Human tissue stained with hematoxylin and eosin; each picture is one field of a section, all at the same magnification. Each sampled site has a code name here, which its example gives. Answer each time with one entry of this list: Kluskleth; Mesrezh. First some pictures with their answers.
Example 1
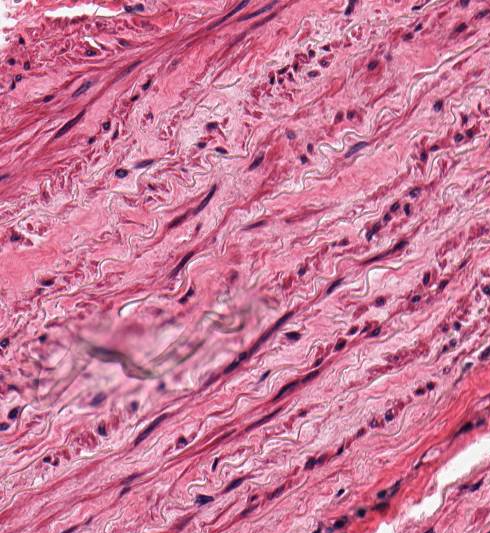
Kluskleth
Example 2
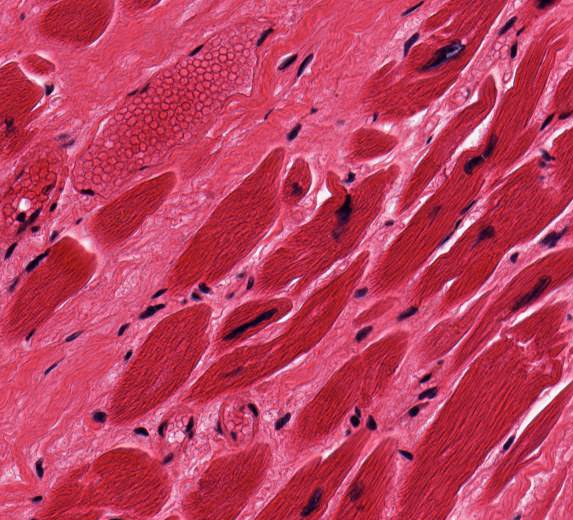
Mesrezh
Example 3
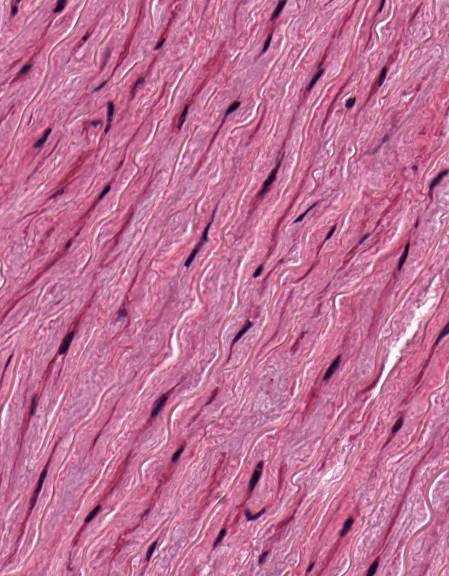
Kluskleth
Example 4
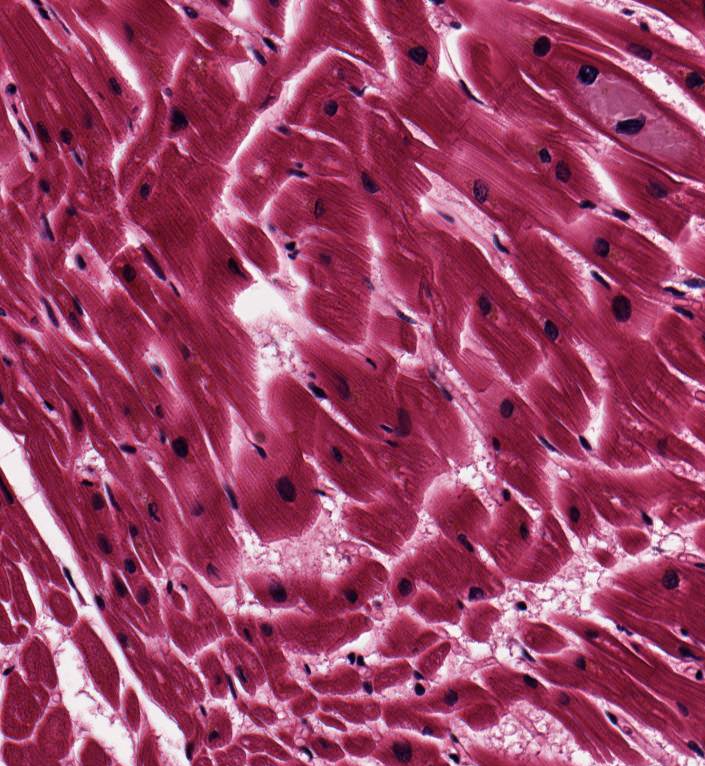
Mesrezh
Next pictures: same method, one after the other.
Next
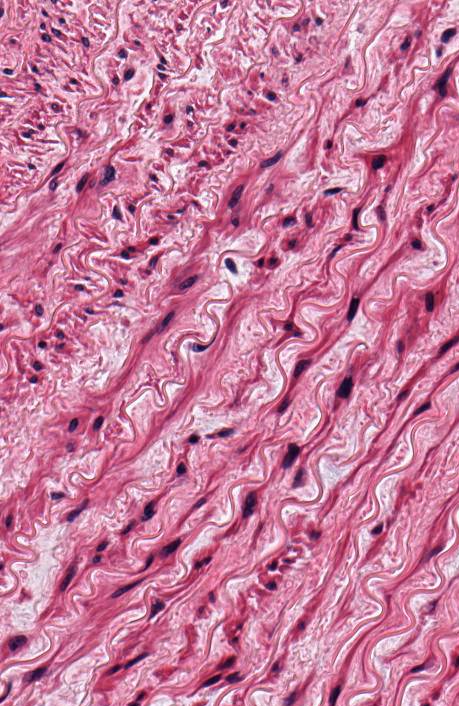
Kluskleth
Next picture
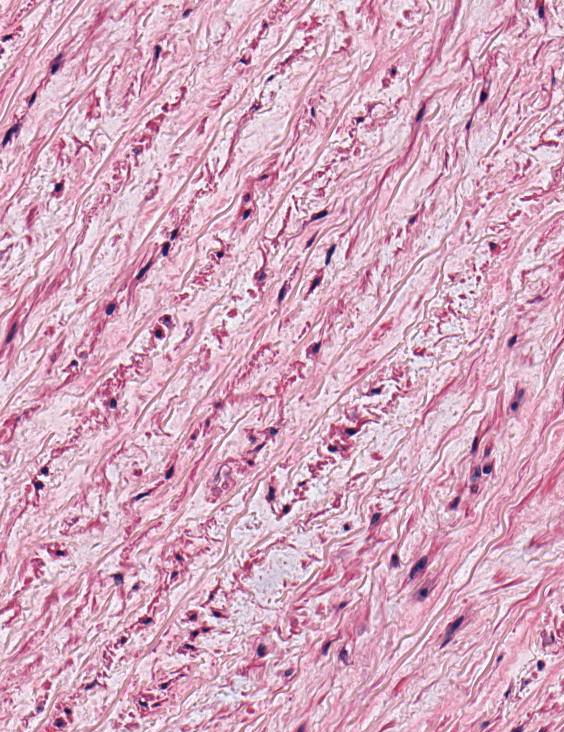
Kluskleth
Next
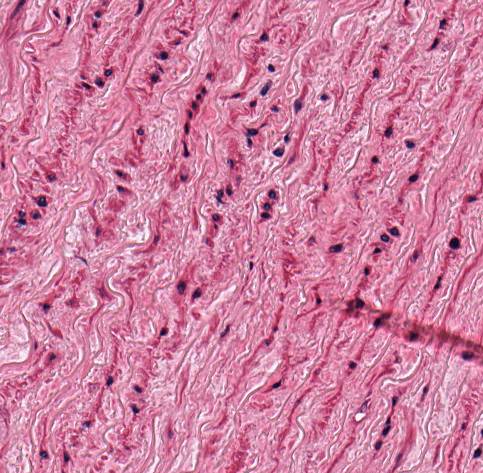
Kluskleth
